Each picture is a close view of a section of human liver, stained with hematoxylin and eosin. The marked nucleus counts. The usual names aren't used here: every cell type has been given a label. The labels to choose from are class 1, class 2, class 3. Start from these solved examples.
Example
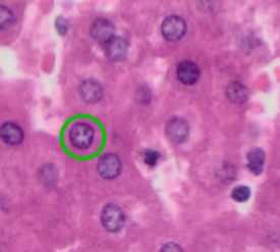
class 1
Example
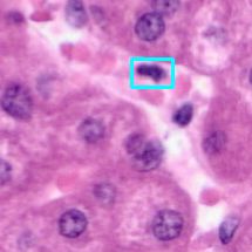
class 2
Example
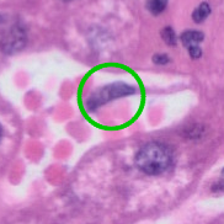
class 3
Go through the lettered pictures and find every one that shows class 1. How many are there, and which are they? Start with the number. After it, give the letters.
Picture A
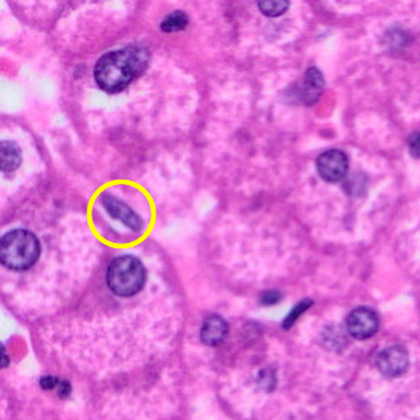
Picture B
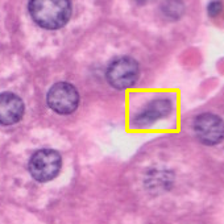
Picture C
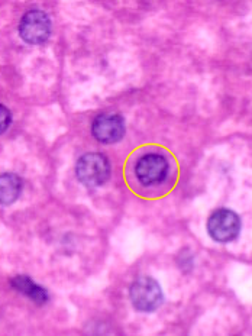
1: C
